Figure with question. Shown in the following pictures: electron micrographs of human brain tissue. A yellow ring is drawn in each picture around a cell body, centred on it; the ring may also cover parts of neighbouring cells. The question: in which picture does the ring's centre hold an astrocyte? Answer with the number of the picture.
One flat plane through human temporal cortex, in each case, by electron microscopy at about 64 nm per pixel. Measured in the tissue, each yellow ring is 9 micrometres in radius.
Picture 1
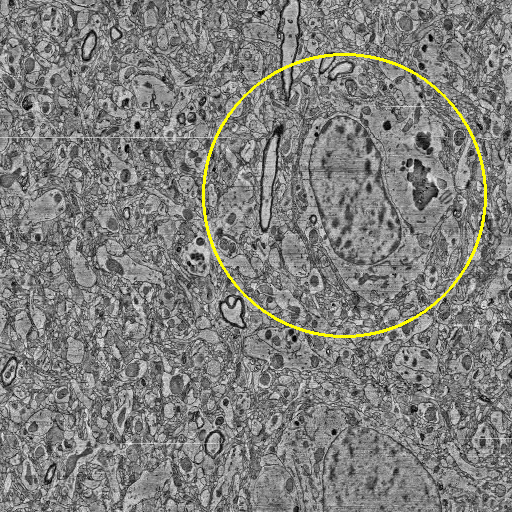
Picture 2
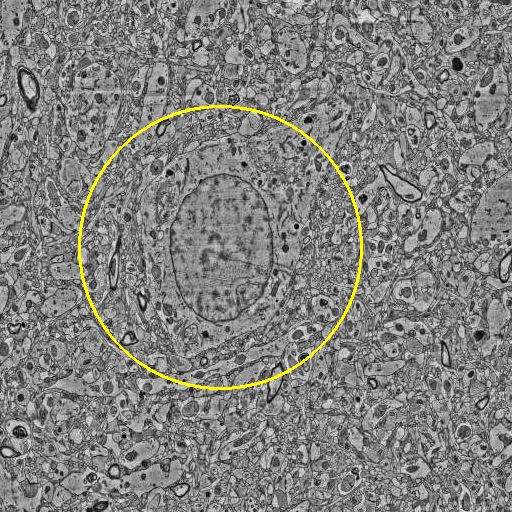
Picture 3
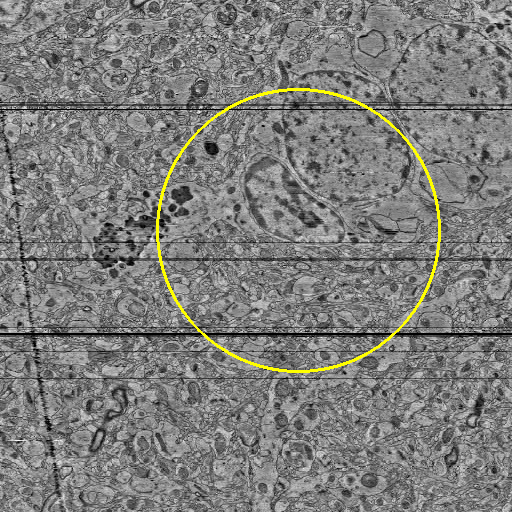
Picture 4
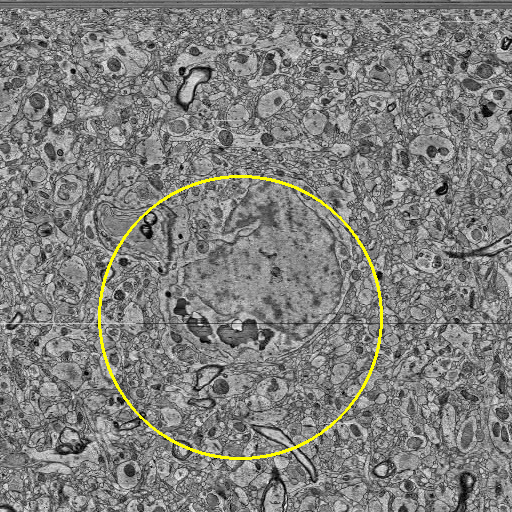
1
